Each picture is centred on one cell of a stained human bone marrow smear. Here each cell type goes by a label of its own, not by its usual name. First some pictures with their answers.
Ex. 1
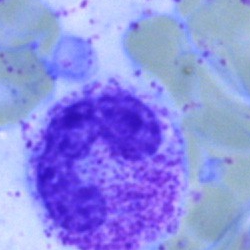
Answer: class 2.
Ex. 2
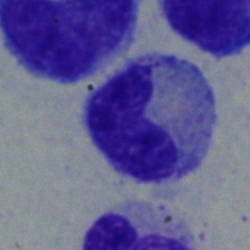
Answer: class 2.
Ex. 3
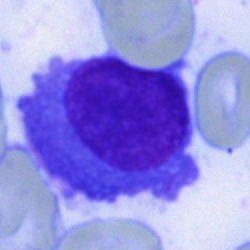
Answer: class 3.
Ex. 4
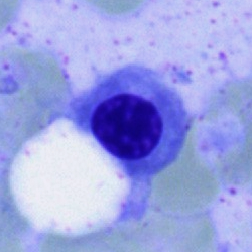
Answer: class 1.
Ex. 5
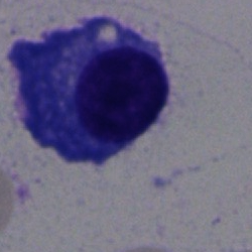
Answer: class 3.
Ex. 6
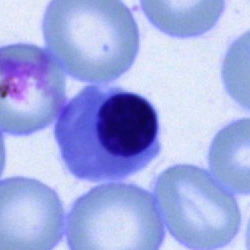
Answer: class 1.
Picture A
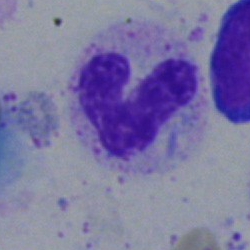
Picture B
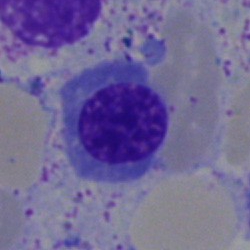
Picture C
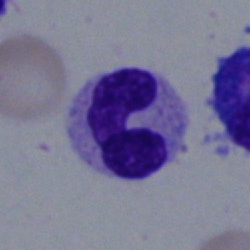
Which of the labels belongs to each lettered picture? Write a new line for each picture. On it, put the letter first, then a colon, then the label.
A: class 2.
B: class 1.
C: class 2.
